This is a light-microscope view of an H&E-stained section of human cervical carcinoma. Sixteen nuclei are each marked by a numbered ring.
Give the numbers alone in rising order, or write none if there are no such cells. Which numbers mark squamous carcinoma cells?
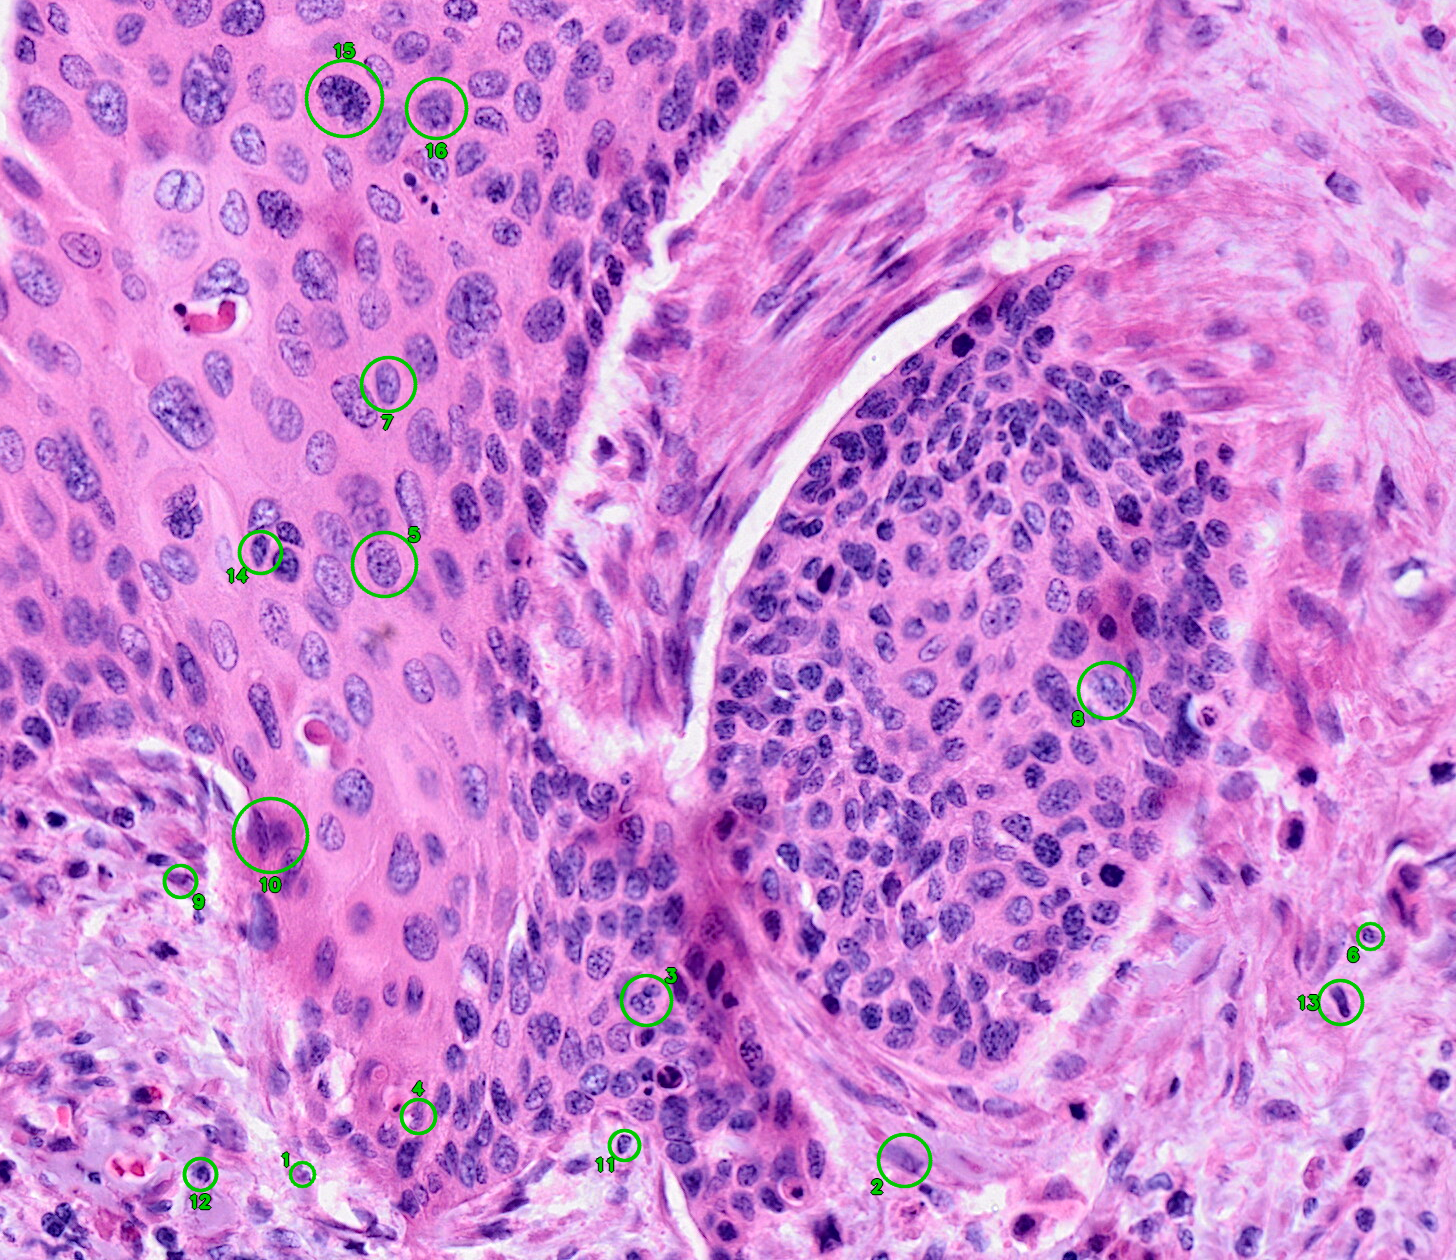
3, 4, 5, 7, 8, 10, 14, 15, 16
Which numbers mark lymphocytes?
6, 11, 12, 13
